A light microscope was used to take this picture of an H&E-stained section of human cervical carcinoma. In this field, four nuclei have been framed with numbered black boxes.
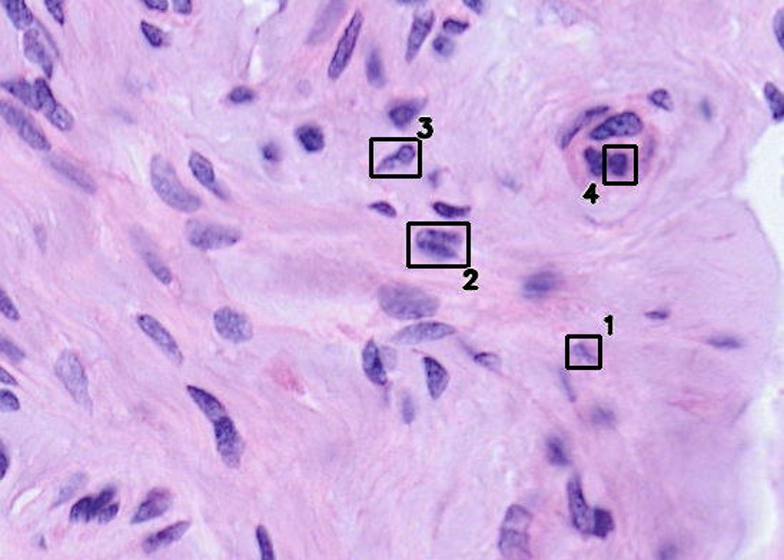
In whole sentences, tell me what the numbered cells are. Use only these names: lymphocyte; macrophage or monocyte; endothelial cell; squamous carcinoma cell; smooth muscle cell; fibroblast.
Cell 1 is a smooth muscle cell, cell 2 is a fibroblast, cell 3 is a fibroblast and cell 4 is an endothelial cell.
